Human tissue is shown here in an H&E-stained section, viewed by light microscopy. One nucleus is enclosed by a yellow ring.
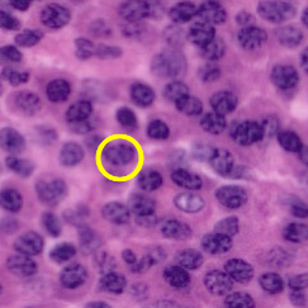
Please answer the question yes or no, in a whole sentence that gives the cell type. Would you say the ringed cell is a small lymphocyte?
No, the ringed cell is reported as a plasma cell rather than a small lymphocyte.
